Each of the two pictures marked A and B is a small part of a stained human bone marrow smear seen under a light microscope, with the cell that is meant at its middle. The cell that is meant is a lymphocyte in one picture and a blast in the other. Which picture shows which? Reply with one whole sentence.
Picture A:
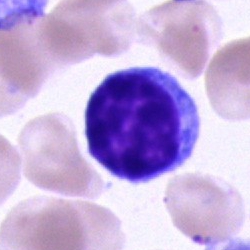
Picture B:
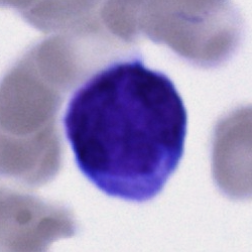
Picture A is of a lymphocyte, and picture B is of a blast.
